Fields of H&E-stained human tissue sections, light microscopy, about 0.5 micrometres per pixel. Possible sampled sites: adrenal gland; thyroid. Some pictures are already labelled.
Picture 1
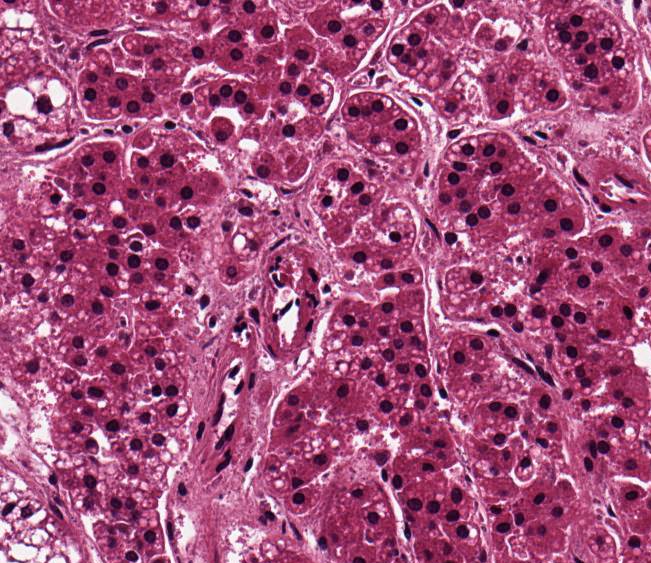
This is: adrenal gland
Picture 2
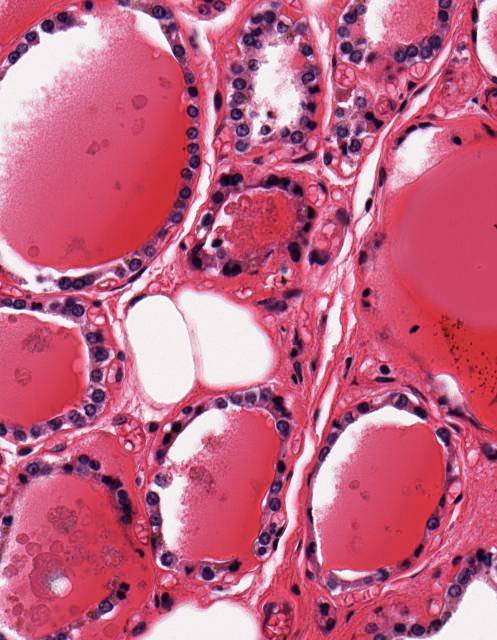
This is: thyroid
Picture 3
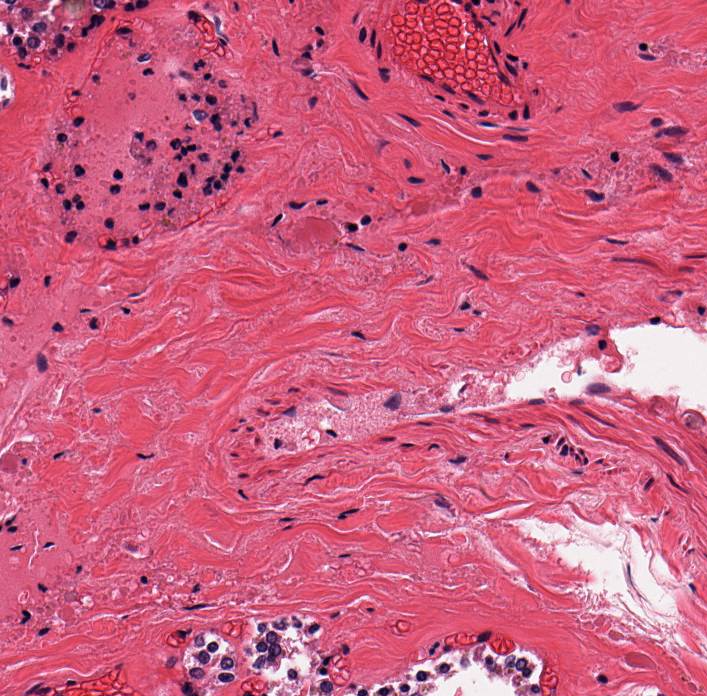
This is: thyroid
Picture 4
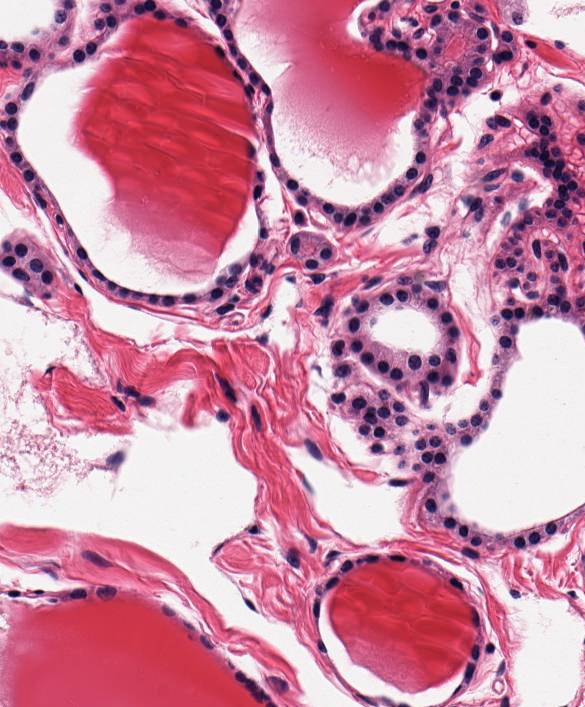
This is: thyroid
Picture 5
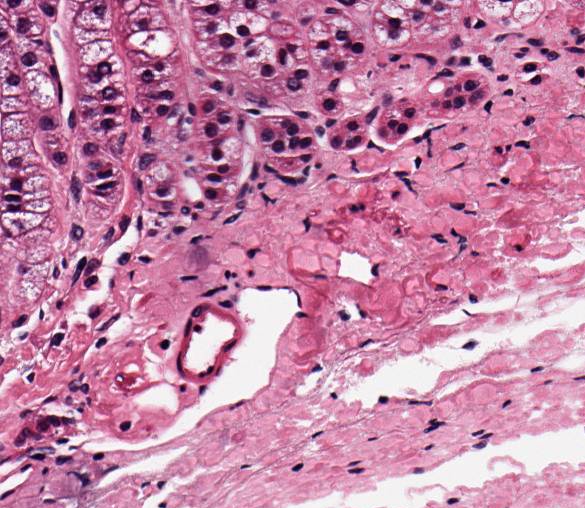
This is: adrenal gland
